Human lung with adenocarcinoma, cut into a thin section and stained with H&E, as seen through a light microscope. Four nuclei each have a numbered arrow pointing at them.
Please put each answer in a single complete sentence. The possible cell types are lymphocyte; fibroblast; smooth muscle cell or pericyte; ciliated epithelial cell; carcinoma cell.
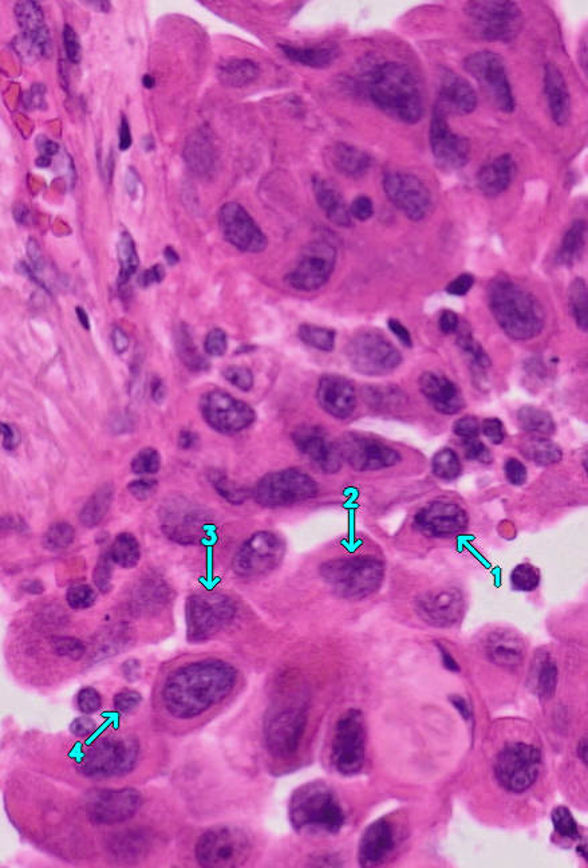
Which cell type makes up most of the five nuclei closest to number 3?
Around number 3, most of the five nearest nuclei are those of carcinoma cells.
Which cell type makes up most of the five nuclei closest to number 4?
Of the five nuclei nearest to number 4, most belong to lymphocytes.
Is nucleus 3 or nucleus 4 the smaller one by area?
Nucleus 4 is the smaller one; nucleus 3 covers about 4 times its area.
